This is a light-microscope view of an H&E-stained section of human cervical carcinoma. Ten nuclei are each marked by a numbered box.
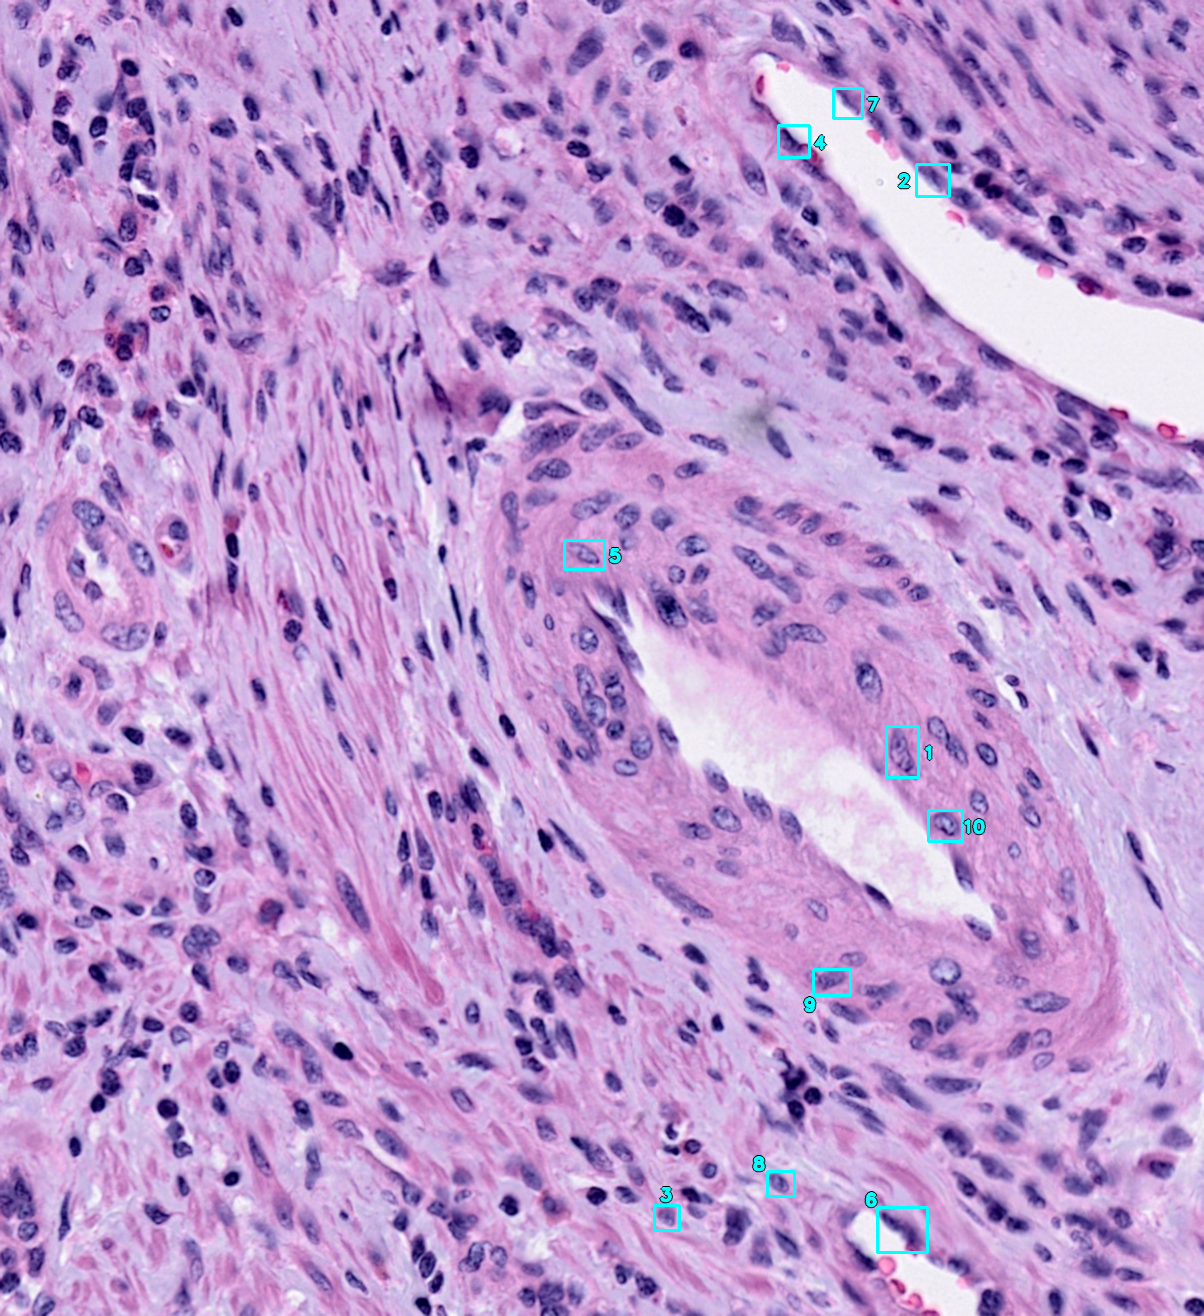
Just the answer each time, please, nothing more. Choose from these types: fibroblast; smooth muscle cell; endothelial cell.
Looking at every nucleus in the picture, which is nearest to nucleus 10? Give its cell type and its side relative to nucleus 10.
a smooth muscle cell, above and to the right of nucleus 10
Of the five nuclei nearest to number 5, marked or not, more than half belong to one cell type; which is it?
smooth muscle cell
